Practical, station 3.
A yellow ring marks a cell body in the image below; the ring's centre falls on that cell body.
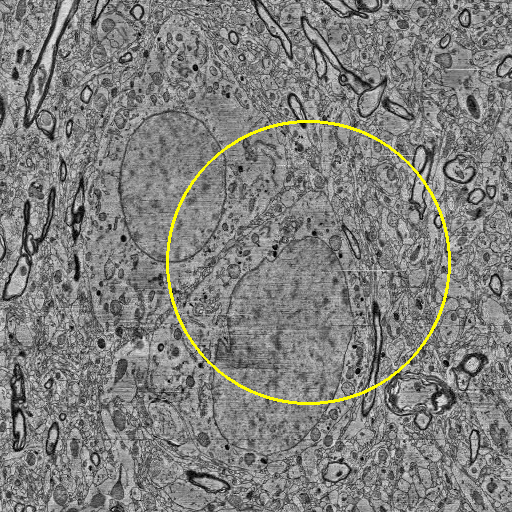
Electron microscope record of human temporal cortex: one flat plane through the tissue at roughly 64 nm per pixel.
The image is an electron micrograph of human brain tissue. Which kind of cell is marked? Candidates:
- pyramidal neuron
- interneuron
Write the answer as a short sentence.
The marked cell body is that of a pyramidal neuron.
